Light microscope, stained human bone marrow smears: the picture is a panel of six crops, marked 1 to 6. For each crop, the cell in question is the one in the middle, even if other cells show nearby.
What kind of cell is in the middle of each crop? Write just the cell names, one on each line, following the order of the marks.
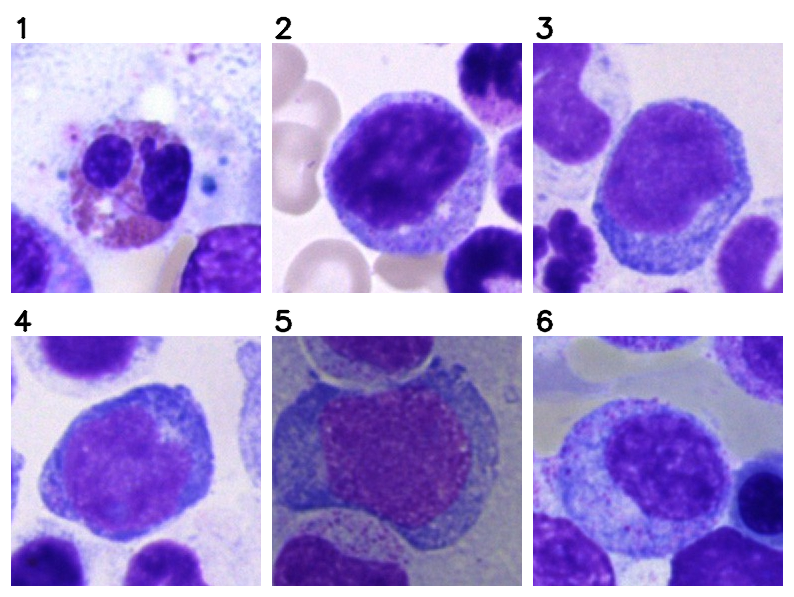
eosinophil
promyelocyte
blast
blast
blast
promyelocyte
